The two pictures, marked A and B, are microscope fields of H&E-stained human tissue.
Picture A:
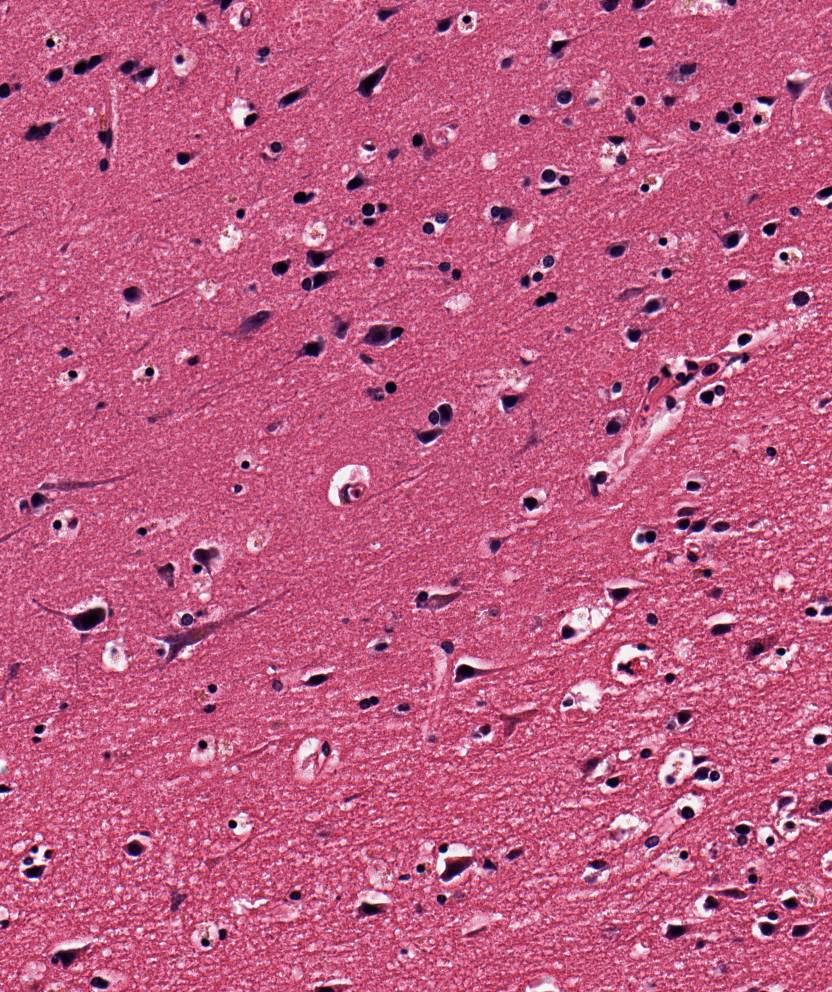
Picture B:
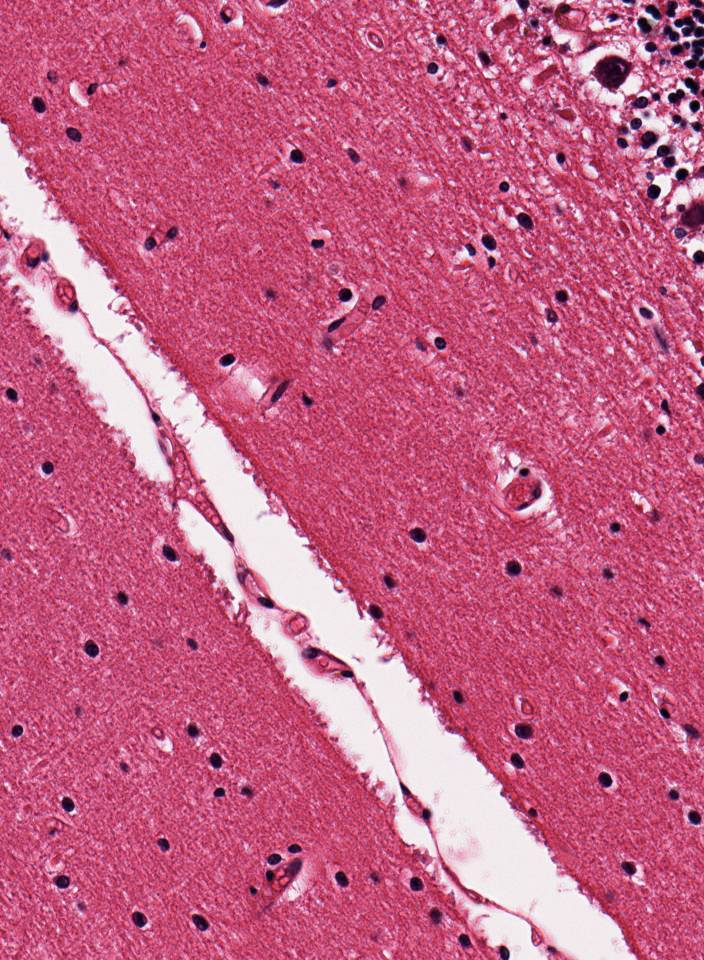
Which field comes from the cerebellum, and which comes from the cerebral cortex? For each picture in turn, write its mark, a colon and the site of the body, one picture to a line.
A: cerebral cortex
B: cerebellum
